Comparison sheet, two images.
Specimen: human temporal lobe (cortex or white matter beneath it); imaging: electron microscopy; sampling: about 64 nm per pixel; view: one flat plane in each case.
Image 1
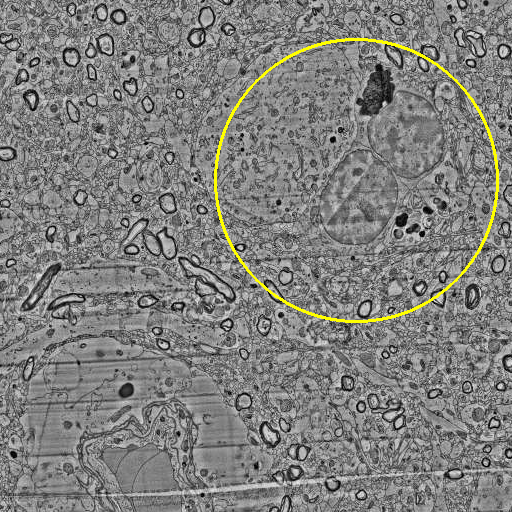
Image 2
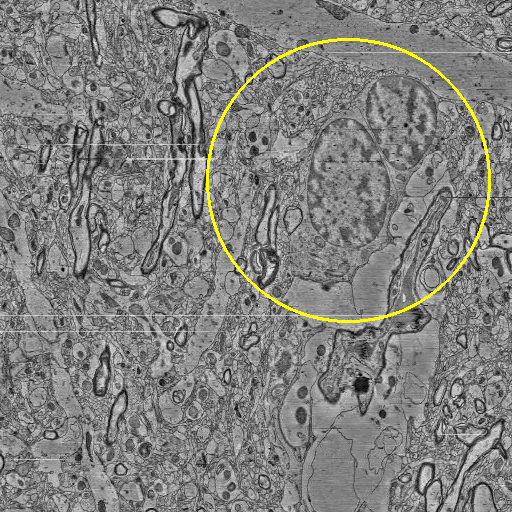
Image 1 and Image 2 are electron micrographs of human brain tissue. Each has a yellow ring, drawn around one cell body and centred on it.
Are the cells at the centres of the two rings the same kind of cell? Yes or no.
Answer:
yes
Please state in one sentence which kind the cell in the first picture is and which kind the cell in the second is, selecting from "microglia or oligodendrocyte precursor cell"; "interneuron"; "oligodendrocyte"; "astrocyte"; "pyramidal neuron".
Each cell, in the first picture and the second, is an oligodendrocyte.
